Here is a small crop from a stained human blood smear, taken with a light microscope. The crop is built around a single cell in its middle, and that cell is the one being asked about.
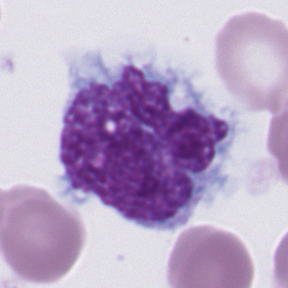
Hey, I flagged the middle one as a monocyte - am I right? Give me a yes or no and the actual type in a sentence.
Yes, the middle of the crop is occupied by a monocyte.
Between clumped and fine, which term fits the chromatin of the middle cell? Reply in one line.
This nucleus has coarsely clumped chromatin.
